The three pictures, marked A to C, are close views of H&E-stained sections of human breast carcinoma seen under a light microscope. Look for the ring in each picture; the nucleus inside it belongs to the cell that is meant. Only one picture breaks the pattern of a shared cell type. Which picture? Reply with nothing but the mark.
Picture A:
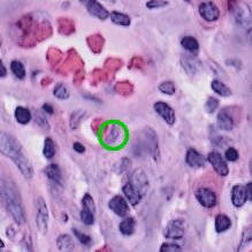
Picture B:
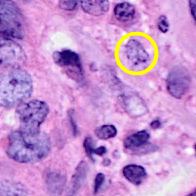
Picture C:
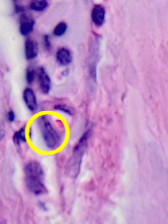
B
